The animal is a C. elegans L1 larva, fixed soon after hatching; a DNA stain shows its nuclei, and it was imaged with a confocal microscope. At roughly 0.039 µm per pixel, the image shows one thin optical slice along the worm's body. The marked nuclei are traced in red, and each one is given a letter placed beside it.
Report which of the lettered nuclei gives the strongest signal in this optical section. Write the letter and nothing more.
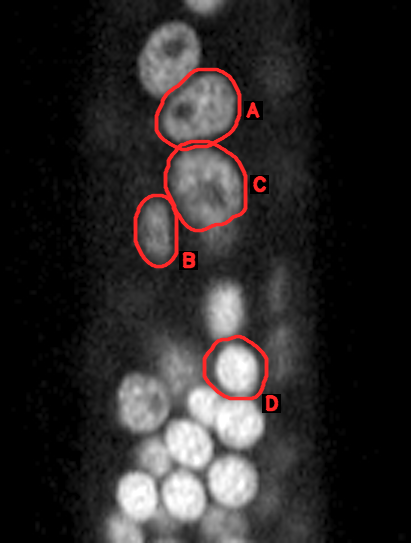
D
